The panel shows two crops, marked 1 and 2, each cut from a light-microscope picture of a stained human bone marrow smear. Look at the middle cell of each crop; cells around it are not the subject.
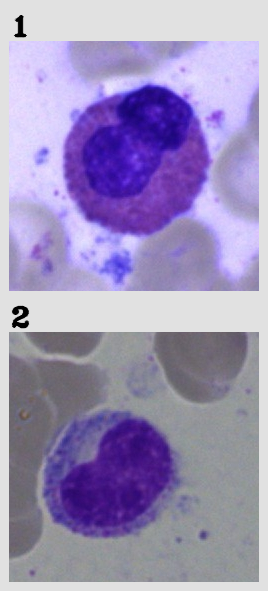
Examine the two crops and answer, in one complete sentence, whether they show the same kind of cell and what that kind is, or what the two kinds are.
No, crop 1 has an eosinophil in the middle, and crop 2 has a metamyelocyte.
